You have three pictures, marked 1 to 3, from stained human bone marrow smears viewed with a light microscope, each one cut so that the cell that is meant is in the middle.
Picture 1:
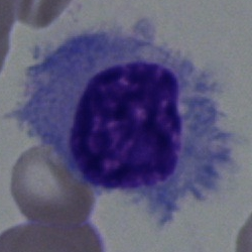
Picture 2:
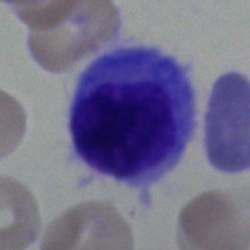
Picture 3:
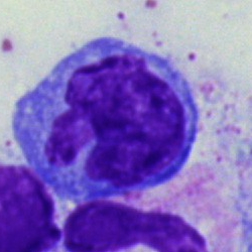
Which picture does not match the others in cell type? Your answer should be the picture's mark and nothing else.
3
